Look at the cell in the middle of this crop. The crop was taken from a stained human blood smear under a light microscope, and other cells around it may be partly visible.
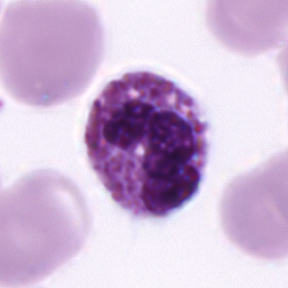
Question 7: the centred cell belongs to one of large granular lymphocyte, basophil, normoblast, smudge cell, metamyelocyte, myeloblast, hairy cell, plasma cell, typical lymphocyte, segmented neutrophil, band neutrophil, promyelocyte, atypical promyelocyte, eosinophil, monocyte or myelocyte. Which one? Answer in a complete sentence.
As for the central cell, it is an eosinophil.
